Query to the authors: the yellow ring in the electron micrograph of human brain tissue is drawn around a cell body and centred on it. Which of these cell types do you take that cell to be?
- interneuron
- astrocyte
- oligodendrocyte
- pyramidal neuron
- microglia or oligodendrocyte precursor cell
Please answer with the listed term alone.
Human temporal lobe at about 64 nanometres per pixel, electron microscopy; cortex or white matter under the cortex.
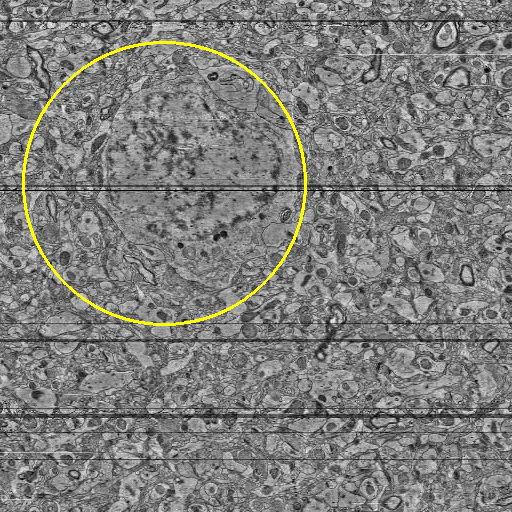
interneuron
